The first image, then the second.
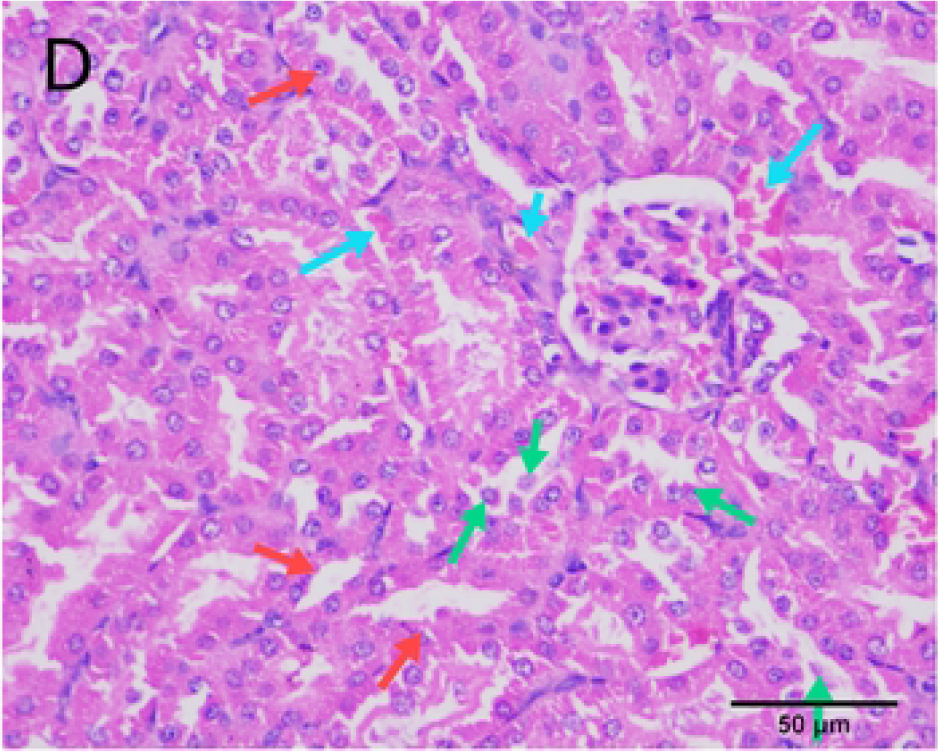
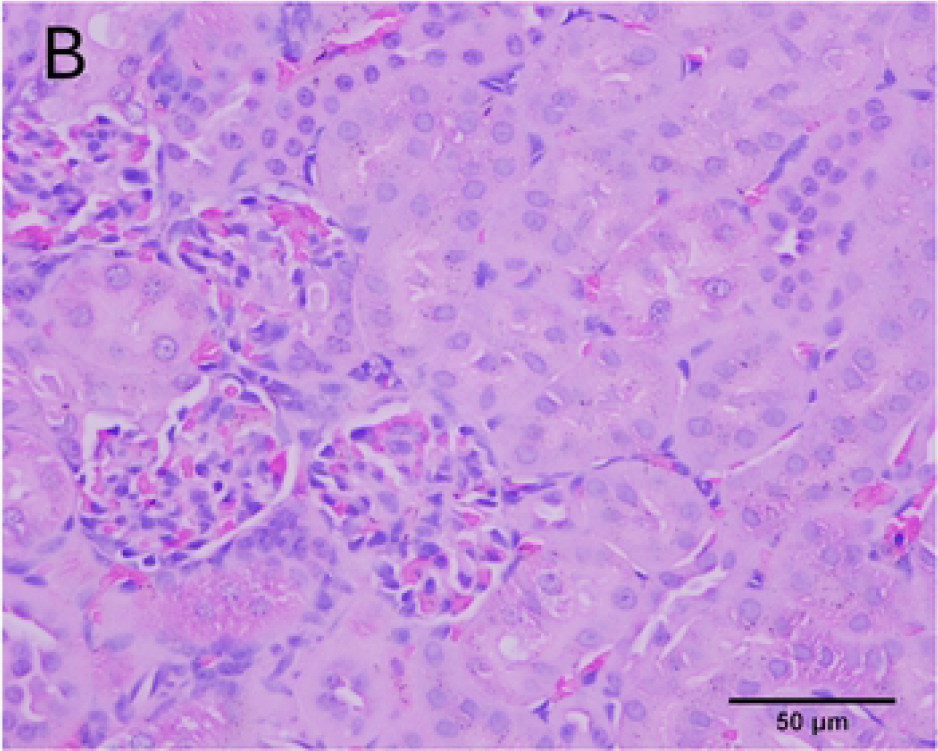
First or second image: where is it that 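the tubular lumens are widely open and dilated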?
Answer: the first image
